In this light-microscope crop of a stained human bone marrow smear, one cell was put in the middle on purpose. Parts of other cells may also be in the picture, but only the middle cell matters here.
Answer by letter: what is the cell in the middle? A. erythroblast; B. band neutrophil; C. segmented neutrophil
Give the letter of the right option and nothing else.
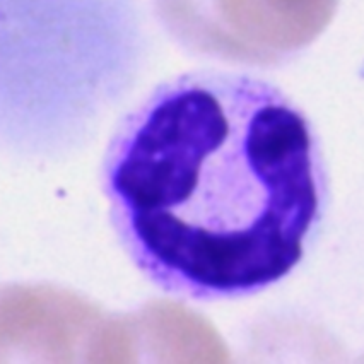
C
